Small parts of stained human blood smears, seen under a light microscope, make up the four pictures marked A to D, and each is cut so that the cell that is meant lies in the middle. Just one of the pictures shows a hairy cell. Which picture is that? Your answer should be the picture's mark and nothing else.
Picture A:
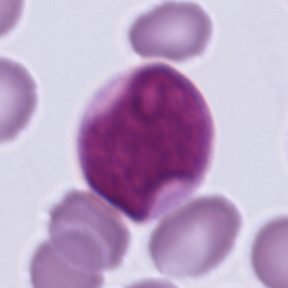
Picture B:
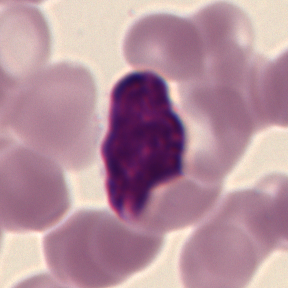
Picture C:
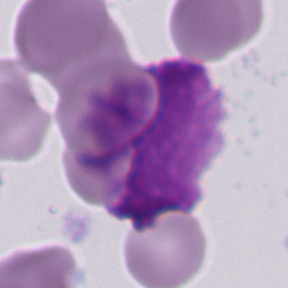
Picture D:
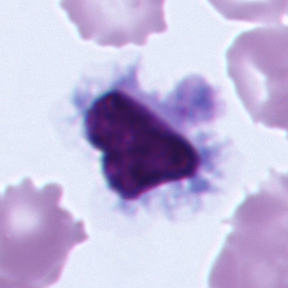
D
